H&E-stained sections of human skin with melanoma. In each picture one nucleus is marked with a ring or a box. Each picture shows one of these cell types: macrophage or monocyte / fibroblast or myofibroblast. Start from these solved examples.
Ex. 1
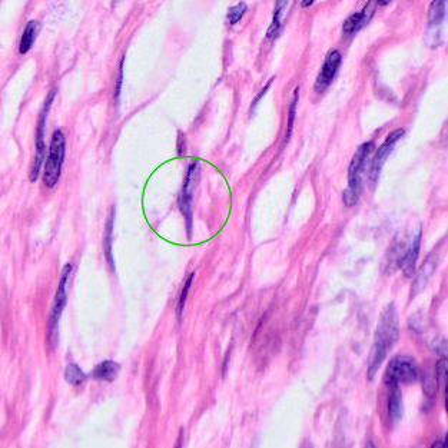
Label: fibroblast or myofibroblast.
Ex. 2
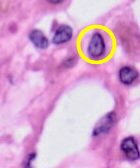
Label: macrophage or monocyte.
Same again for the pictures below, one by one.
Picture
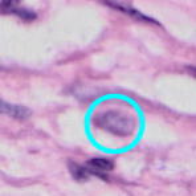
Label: fibroblast or myofibroblast.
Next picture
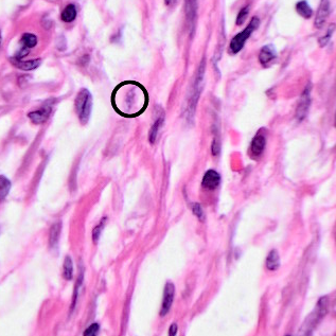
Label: fibroblast or myofibroblast.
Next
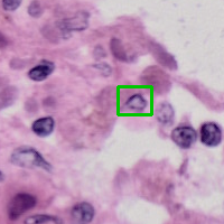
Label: macrophage or monocyte.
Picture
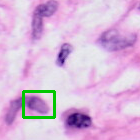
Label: macrophage or monocyte.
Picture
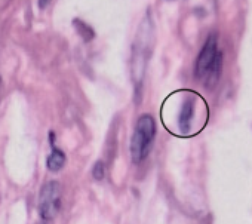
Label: fibroblast or myofibroblast.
